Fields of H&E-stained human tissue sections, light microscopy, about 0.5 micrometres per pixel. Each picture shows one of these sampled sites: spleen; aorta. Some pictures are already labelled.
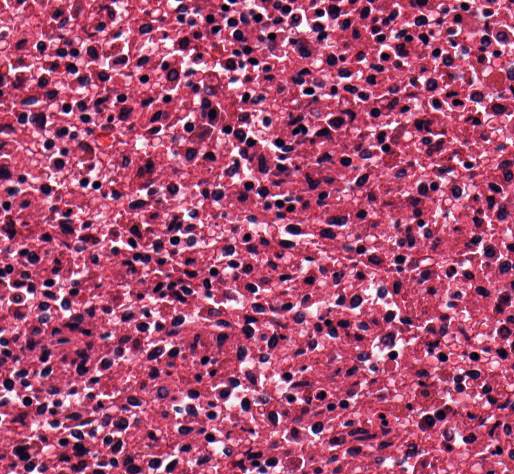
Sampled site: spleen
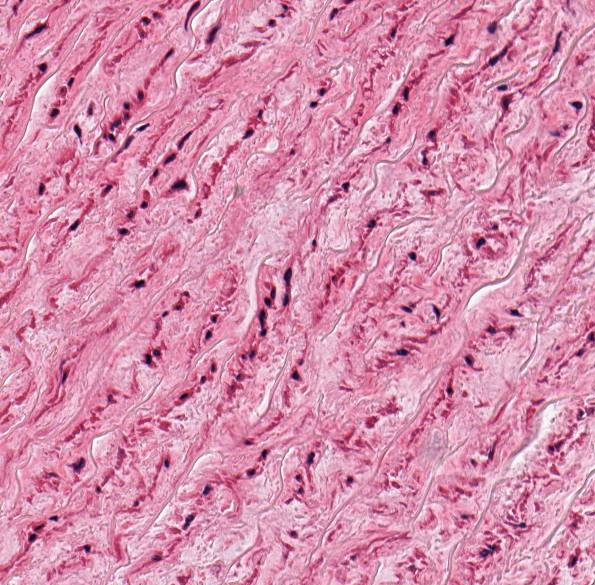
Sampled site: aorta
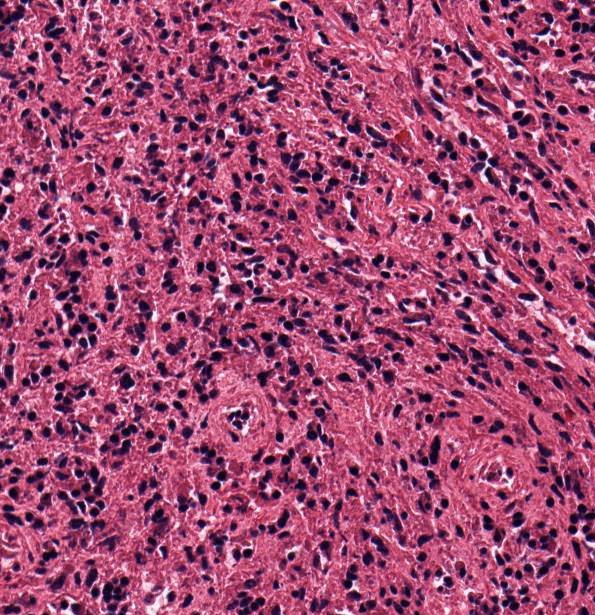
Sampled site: spleen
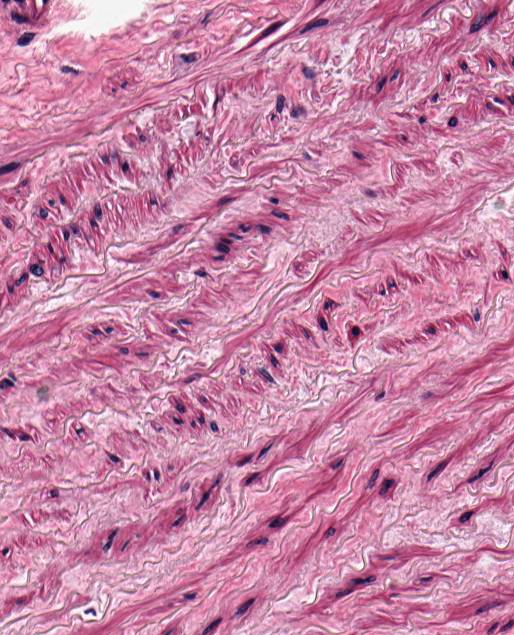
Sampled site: aorta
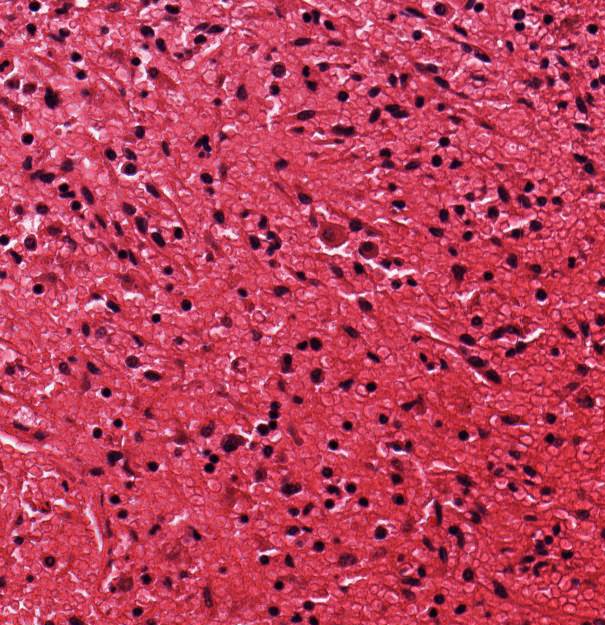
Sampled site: spleen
